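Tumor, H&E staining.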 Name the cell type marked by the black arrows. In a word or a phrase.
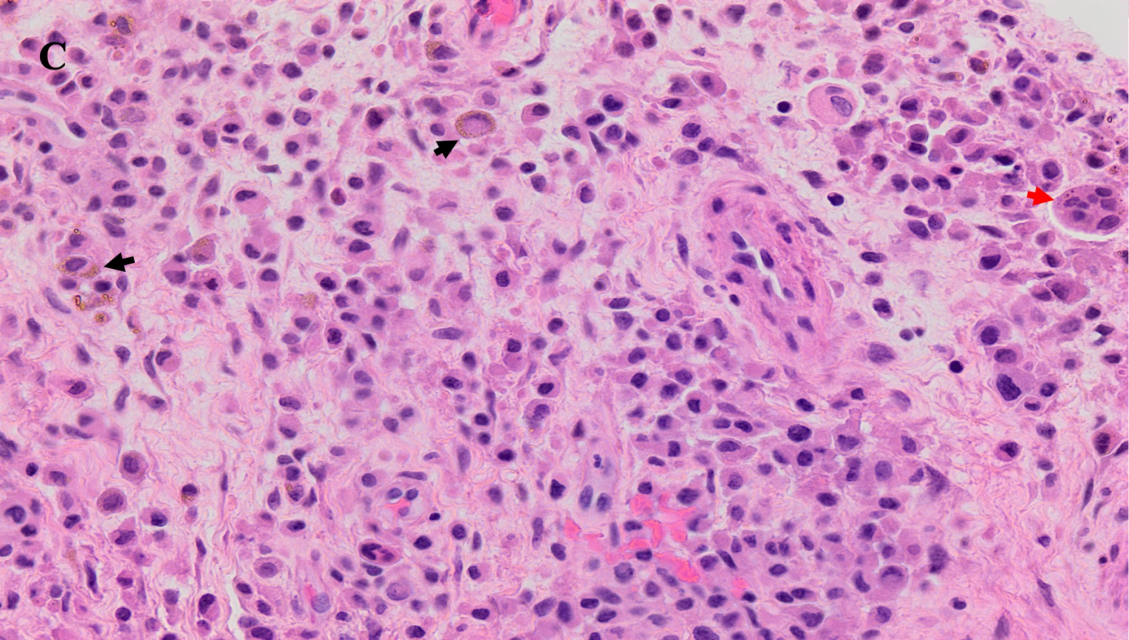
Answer: Pigment-laden macrophages.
